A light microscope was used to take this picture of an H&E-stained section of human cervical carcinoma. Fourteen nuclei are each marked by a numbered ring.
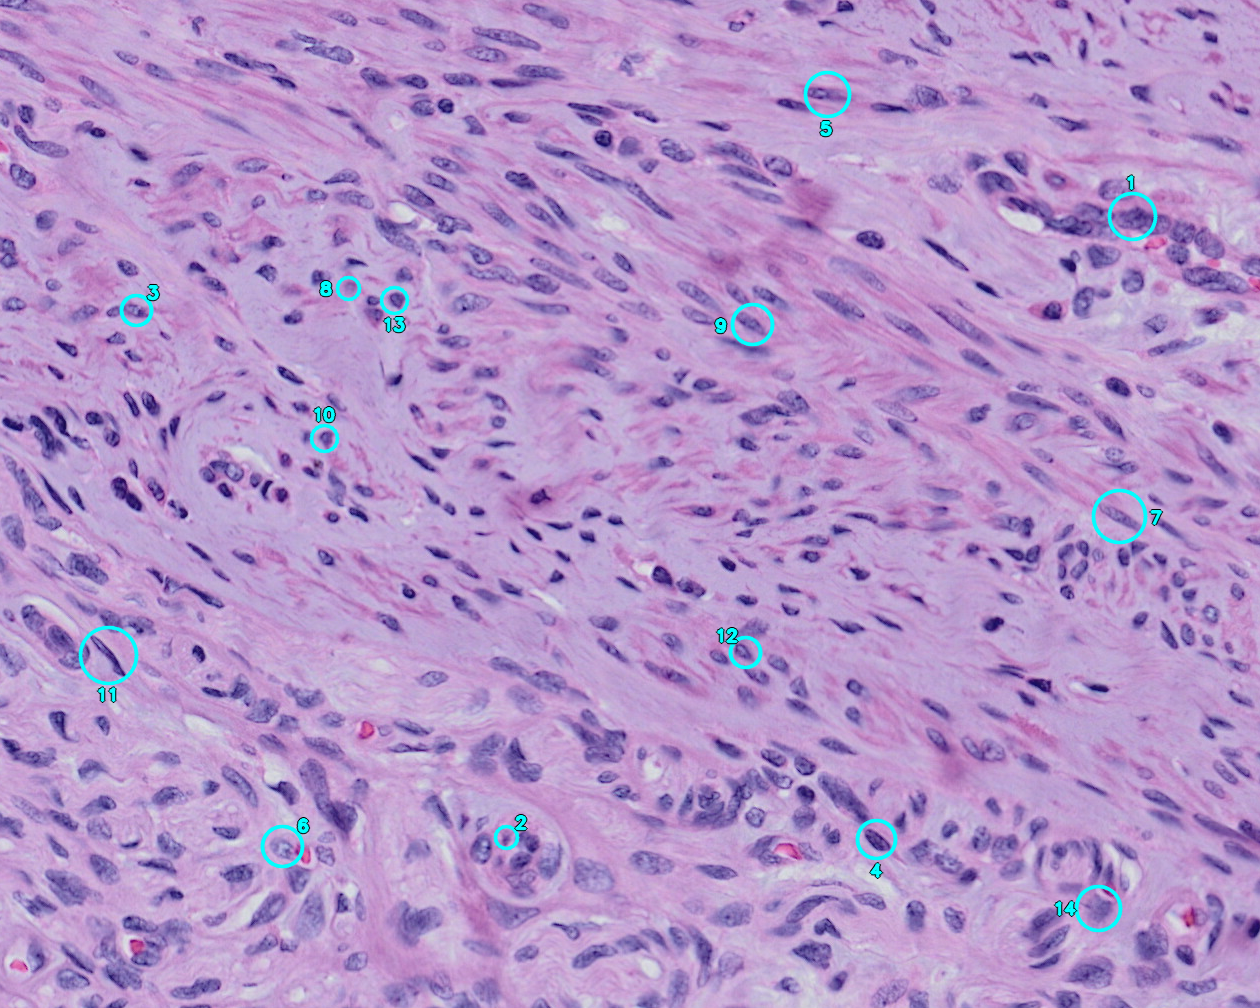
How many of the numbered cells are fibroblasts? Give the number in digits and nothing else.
1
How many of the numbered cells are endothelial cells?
4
